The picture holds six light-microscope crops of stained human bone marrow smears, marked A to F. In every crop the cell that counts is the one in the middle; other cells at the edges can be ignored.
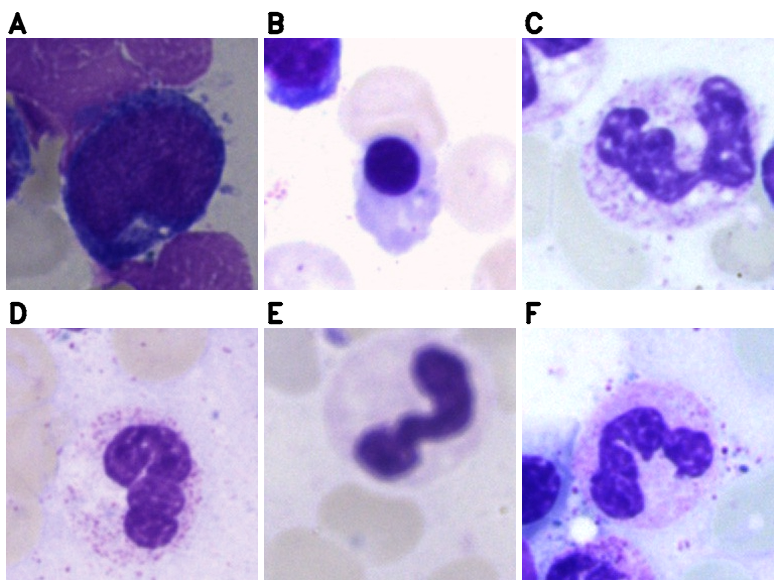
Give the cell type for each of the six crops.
A: blast
B: erythroblast
C: segmented neutrophil
D: segmented neutrophil
E: segmented neutrophil
F: segmented neutrophil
